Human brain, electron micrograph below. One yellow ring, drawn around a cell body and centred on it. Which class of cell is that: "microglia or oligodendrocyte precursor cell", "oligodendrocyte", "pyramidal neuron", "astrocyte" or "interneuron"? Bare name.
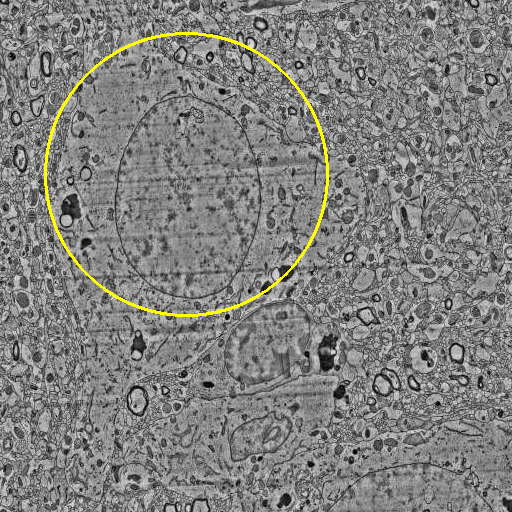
pyramidal neuron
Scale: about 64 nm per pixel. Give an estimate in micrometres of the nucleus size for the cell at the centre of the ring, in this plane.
About 13 by 10 micrometres in this plane.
